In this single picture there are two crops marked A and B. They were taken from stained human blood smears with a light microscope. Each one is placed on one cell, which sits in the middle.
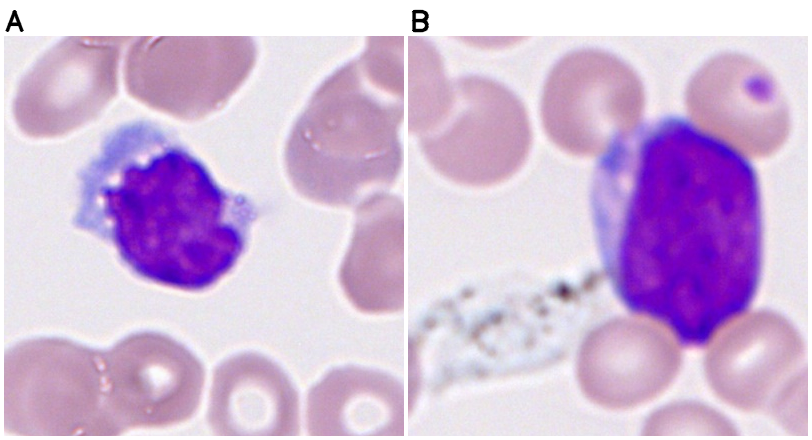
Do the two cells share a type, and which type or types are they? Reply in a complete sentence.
No, a lymphocyte occupies the middle of crop A, and a myeloblast the middle of crop B.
